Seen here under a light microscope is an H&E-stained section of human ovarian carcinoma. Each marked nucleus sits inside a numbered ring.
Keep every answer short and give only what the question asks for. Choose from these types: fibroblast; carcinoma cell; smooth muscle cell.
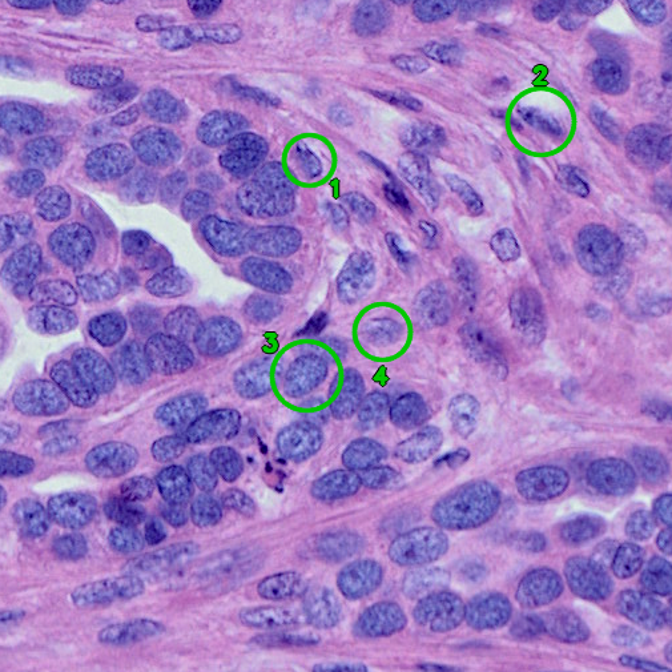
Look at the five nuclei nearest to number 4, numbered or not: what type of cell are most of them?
fibroblast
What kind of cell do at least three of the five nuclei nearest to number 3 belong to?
carcinoma cell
